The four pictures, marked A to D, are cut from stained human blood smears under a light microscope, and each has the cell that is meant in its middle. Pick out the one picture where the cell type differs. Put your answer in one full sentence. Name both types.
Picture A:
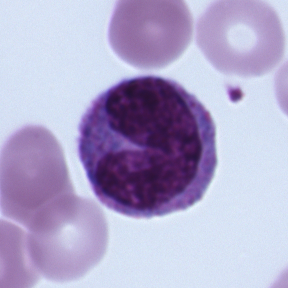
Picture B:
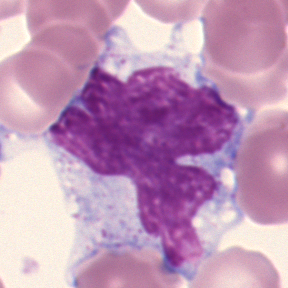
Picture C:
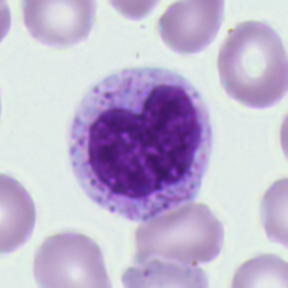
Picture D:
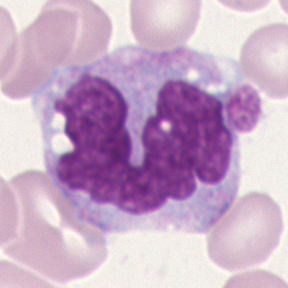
The different one is picture C; it shows a metamyelocyte, whereas all the others show monocytes.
